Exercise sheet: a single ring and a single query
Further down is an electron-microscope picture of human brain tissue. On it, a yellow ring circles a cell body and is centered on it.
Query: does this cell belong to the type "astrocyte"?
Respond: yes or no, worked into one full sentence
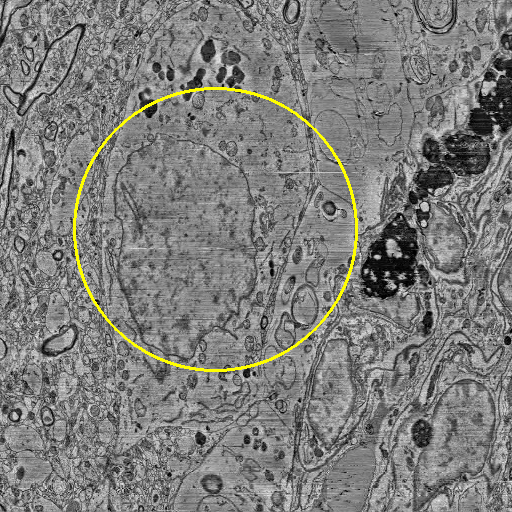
No, this ringed cell, found at the center of the ring in the picture, is of a different type.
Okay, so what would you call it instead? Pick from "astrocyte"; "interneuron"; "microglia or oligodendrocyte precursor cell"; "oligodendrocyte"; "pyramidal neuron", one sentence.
The correct answer is that the cell is a pyramidal neuron.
